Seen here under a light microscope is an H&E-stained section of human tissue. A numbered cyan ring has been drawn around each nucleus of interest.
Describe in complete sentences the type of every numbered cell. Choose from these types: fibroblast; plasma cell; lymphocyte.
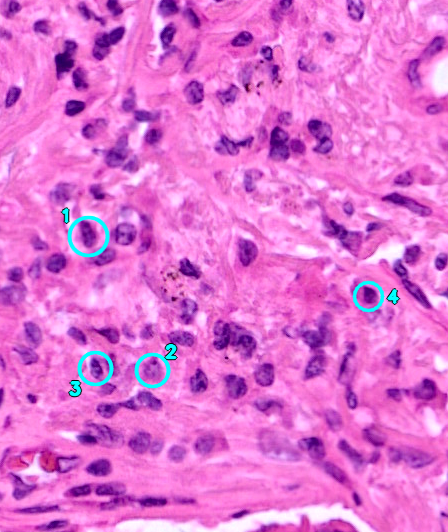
Cells 1, 2 and 4 are plasma cells. Cell 3 is a lymphocyte.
